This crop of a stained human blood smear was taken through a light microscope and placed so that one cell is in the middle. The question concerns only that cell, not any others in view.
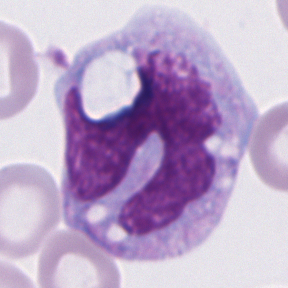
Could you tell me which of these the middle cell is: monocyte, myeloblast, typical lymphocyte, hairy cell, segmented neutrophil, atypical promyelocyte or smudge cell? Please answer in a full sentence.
The cell at the heart of this crop is a monocyte.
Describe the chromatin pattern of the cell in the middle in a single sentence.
The chromatin pattern is fine and free of coarse clumps.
